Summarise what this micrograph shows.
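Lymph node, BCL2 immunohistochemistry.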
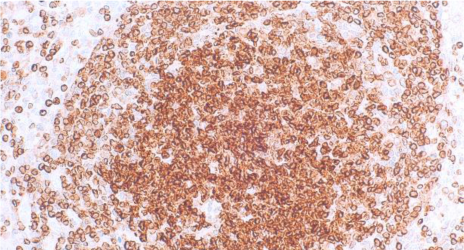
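The cells are small to medium, round, and tightly crowded, with the brown stain outlining each cell around a paler nucleus. At the edges the cells are more loosely arranged in paler stroma, while the densely stained cells form a rounded cluster in the middle.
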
